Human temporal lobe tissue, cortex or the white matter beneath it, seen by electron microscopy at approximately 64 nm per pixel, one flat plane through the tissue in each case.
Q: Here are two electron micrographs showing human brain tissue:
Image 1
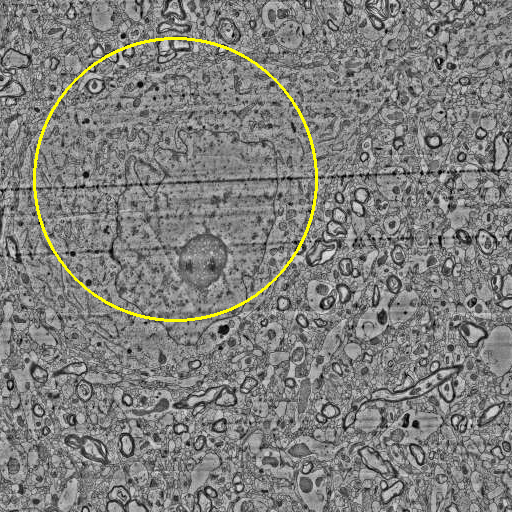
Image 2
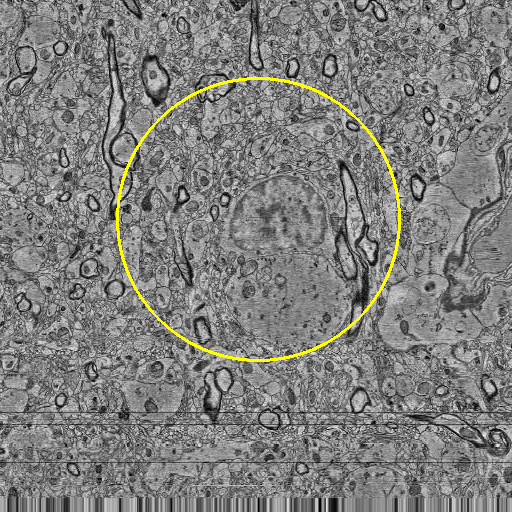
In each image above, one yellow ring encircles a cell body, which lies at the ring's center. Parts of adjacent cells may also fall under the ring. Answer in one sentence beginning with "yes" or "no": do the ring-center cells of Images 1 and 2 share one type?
No, in Images 1 and 2, the ring-center cells are of two types.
